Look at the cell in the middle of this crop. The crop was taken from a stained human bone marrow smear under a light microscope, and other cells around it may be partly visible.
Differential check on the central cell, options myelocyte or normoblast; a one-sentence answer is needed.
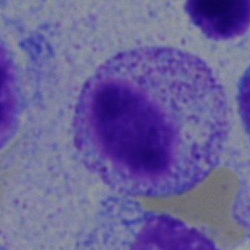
On this slide crop, the central cell is a myelocyte.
